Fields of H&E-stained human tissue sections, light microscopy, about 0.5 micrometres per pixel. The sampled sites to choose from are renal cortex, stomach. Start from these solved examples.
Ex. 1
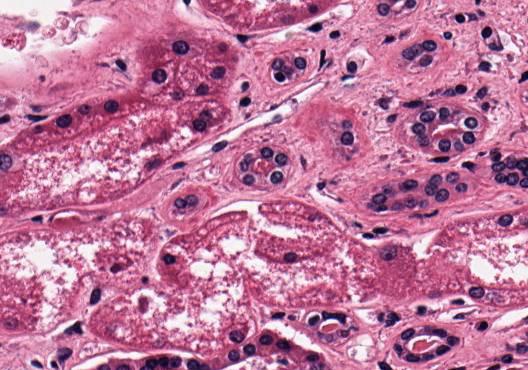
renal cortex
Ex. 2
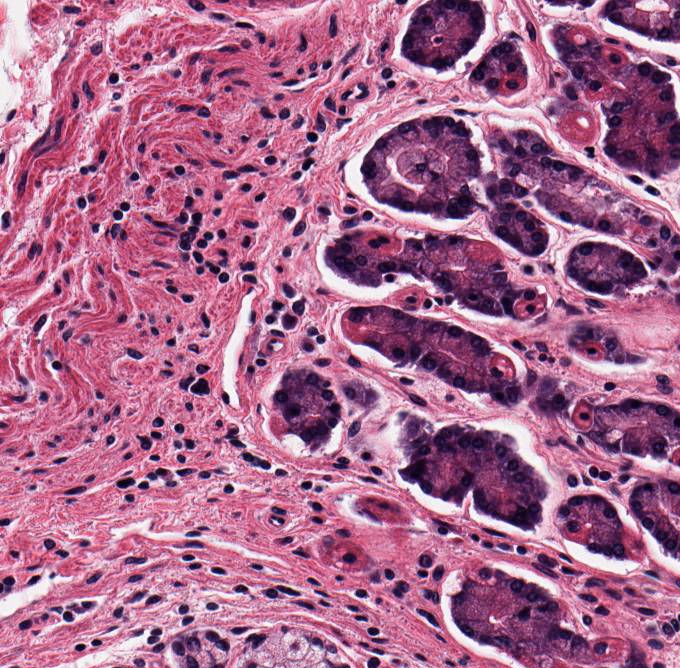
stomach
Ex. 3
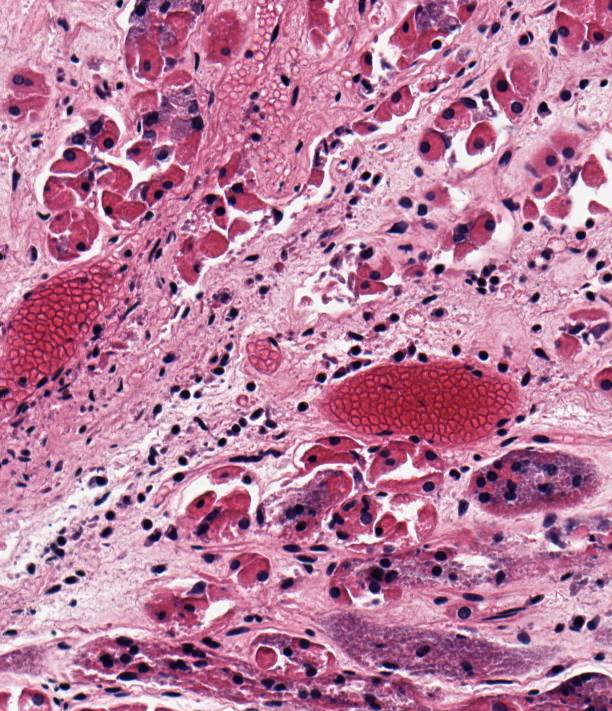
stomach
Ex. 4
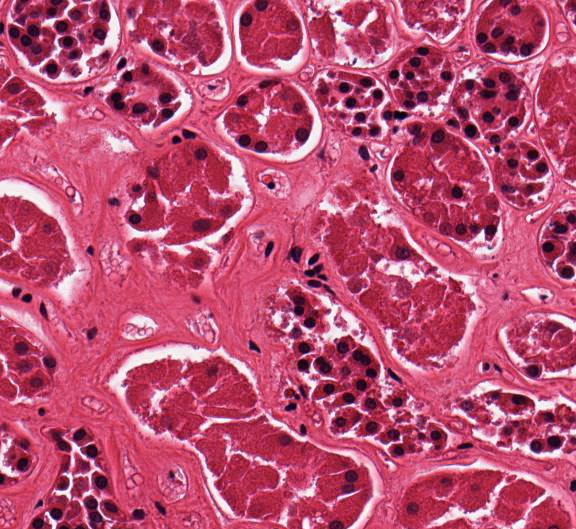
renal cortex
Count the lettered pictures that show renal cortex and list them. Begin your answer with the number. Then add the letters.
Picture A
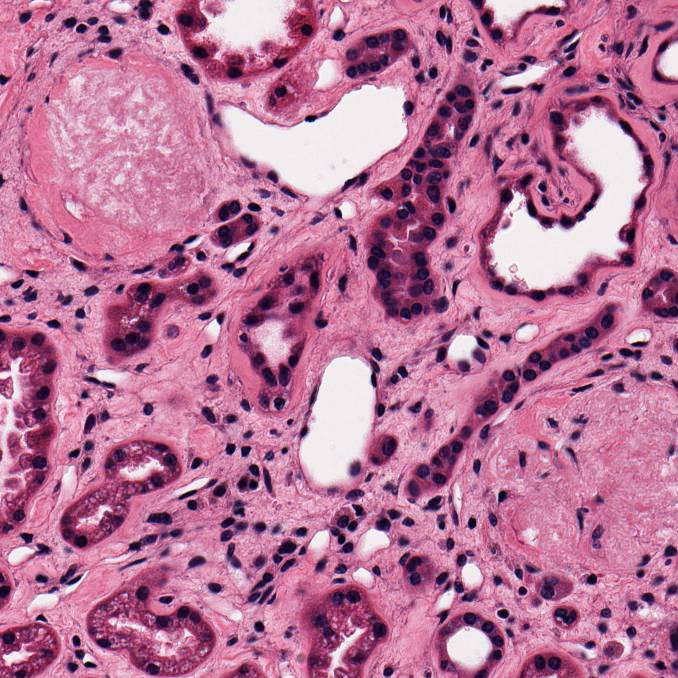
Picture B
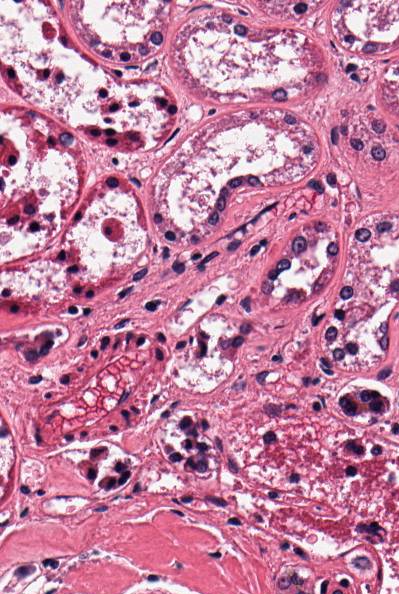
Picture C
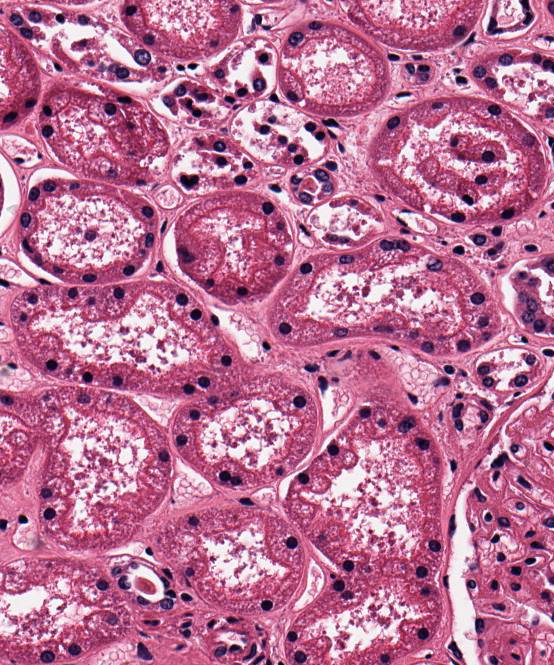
3, namely A, B, C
